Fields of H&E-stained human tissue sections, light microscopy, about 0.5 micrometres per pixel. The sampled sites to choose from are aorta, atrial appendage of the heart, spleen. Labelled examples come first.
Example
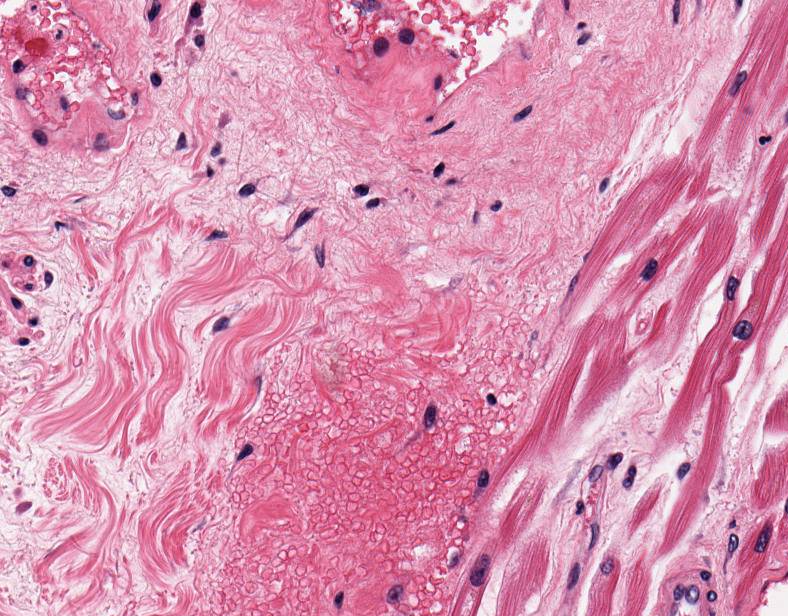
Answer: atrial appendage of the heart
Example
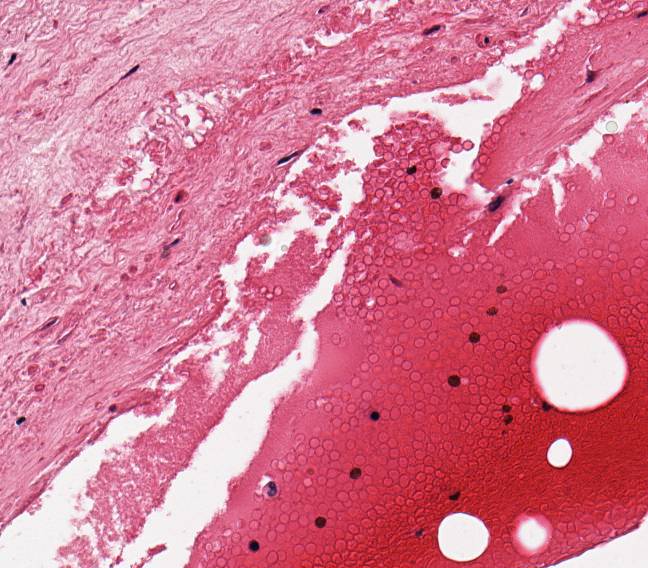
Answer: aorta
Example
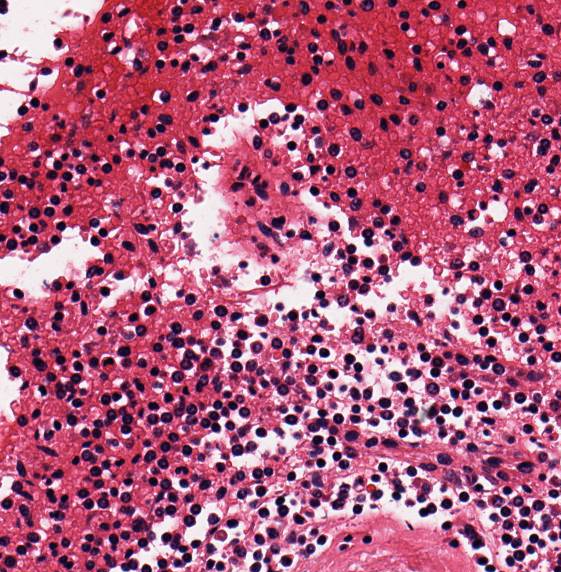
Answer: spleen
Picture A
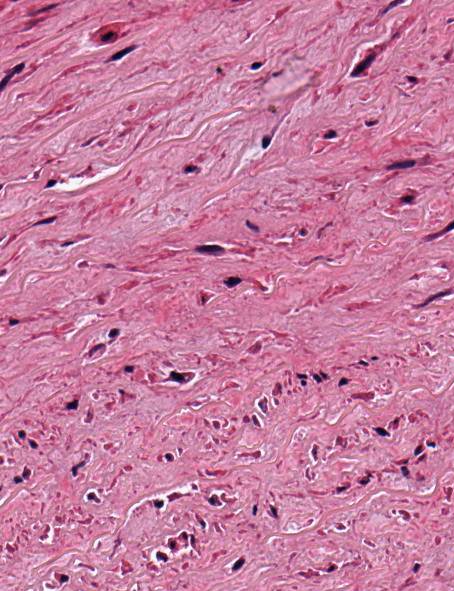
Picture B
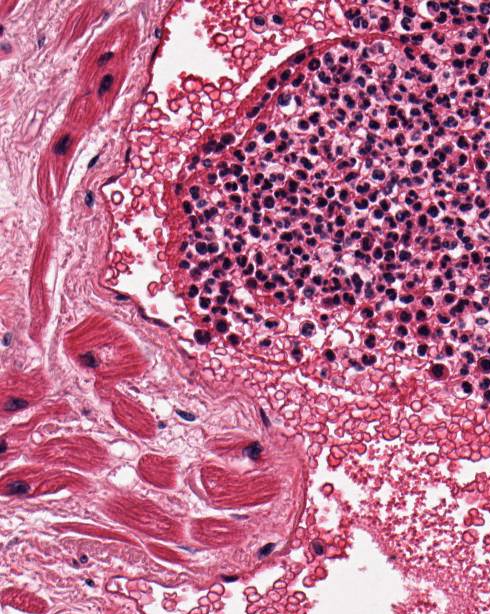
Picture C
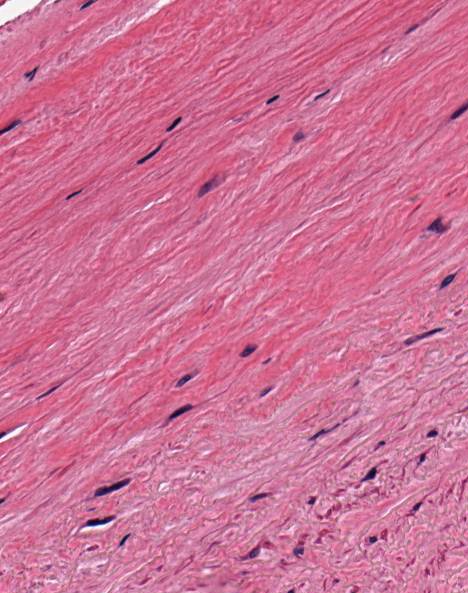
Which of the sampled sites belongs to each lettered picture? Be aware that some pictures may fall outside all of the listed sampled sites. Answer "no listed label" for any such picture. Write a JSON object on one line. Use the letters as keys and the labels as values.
{"A": "aorta", "B": "atrial appendage of the heart", "C": "aorta"}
